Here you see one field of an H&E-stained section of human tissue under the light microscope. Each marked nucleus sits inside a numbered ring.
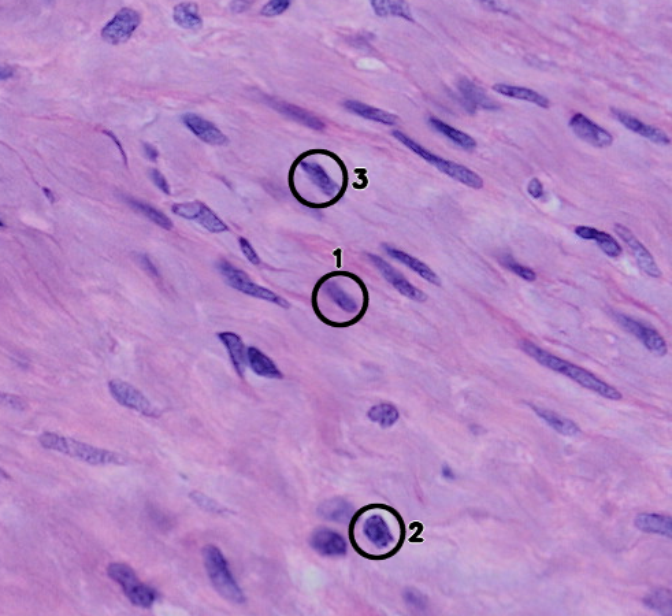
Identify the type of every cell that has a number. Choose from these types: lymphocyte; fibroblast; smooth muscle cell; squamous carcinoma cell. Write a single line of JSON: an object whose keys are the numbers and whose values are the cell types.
{"1": "smooth muscle cell", "2": "lymphocyte", "3": "fibroblast"}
